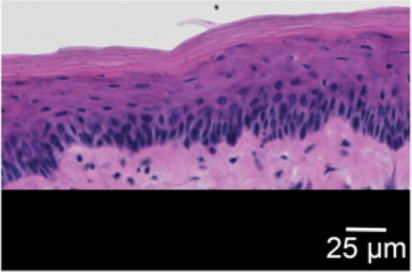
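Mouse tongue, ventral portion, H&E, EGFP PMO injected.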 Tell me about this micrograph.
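The lowest layer is made of tightly packed cells with dark purple, elongated nuclei standing side by side. Above it, the cells become progressively flatter, and the uppermost layers form thin, pink, compact sheets with few visible nuclei. The boundary between epithelium and the underlying tissue runs in a gently undulating line. Below it lies pale pink connective tissue with scattered, widely spaced nuclei.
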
